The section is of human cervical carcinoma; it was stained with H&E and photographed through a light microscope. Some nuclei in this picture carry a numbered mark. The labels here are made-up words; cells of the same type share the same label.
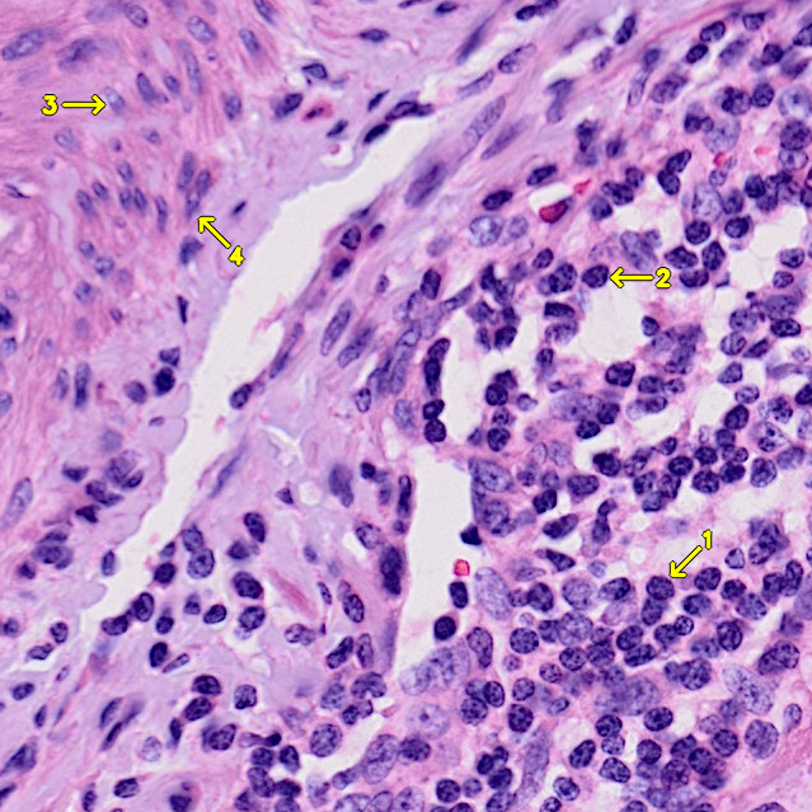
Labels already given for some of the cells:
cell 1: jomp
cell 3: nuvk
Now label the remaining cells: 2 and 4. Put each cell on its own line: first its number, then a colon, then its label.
2: jomp
4: nuvk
